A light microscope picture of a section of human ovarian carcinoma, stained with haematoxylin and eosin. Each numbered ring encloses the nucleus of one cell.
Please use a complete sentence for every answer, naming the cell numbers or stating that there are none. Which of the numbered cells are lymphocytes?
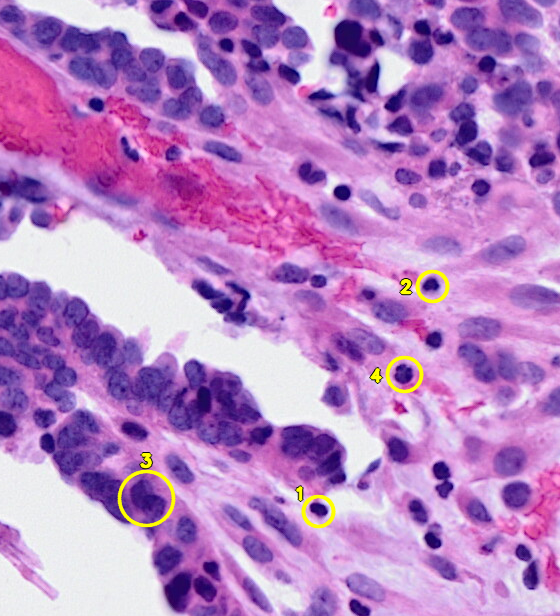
On this slide, the cells numbered 1, 2 and 4 are lymphocytes.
